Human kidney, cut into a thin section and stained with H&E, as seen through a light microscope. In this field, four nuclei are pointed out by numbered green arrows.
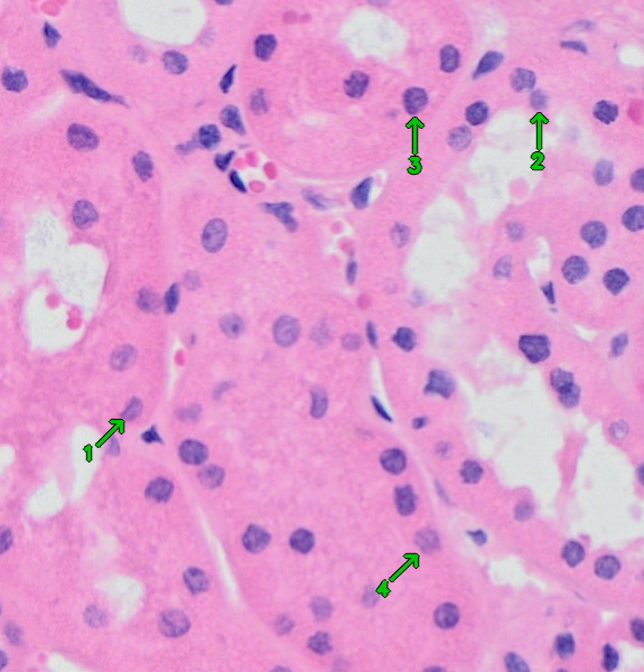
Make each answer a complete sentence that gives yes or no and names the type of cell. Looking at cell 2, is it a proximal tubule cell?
No, the cell indicated by 2 is a loop of Henle or distal tubule cell instead of a proximal tubule cell.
